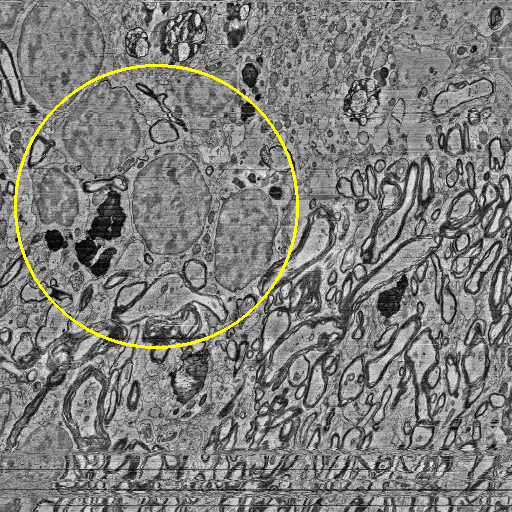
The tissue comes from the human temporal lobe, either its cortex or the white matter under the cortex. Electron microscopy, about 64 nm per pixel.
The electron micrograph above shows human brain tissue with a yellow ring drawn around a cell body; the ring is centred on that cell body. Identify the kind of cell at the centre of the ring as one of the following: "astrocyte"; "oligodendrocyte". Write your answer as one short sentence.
The cell at the centre of the ring is an oligodendrocyte.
